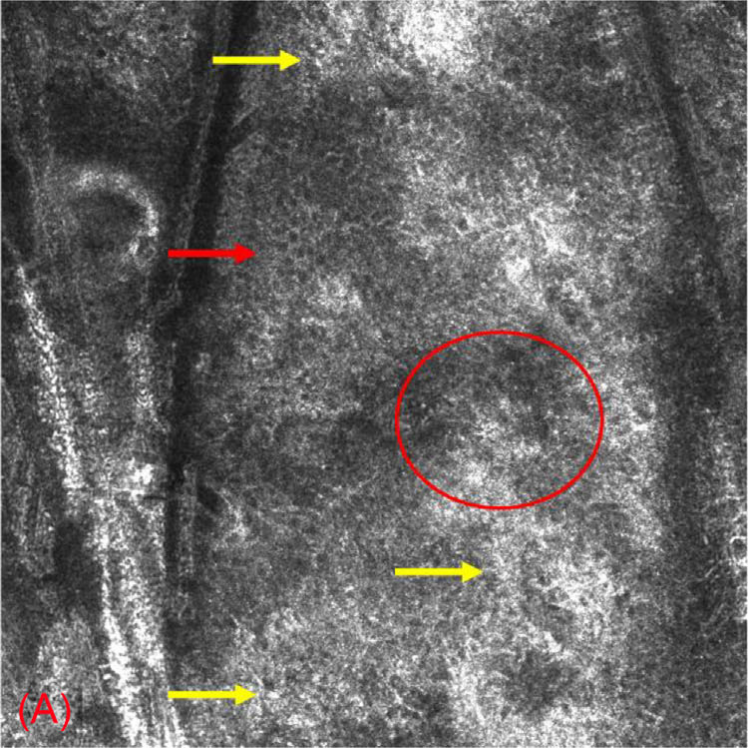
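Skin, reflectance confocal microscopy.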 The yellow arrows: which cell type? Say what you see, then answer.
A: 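Inflammatory cells. The arrows point to bright, highly reflective small dots scattered in the tissue.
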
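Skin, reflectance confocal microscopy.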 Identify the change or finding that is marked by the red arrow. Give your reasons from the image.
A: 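The arrow points to a darker, less densely packed area of the epidermal honeycomb pattern.
Answer: slight edema in the spinous layer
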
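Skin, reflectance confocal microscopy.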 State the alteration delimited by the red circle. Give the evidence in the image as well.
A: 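Inside the circle the bright and dark areas blend with no sharp border. No clear ring-like outline is seen within the circle.
Answer: unclear dermal‐epidermal junction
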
